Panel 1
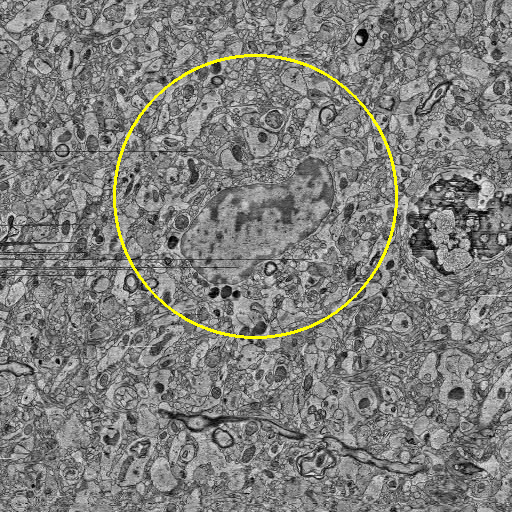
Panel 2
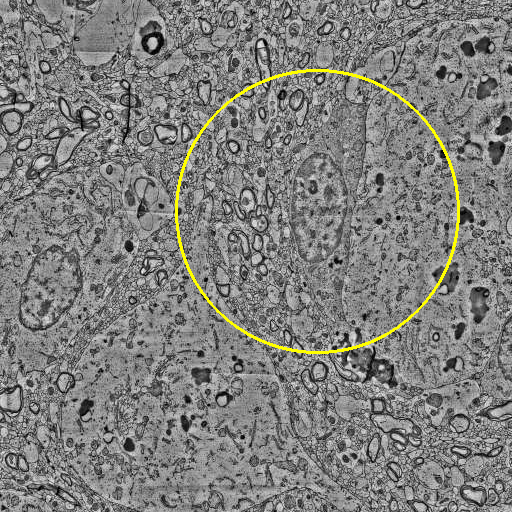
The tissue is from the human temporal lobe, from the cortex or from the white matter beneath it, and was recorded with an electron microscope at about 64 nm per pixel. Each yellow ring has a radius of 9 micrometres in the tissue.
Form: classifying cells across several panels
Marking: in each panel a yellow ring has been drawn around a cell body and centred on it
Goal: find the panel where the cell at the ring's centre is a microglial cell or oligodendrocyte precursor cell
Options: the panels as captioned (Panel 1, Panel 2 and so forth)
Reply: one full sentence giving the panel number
Panel 1 shows the wanted cell at the centre of its ring.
